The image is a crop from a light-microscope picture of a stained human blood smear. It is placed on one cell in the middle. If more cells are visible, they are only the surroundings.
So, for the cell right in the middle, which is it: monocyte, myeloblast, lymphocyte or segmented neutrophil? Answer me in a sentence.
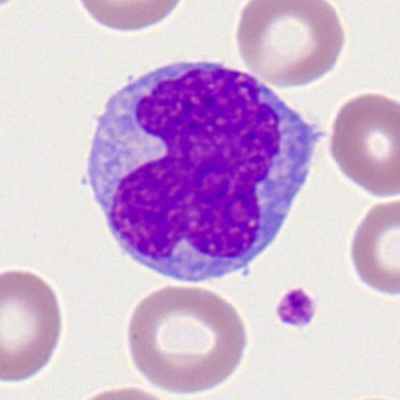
The cell positioned in the middle of the field is a monocyte.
